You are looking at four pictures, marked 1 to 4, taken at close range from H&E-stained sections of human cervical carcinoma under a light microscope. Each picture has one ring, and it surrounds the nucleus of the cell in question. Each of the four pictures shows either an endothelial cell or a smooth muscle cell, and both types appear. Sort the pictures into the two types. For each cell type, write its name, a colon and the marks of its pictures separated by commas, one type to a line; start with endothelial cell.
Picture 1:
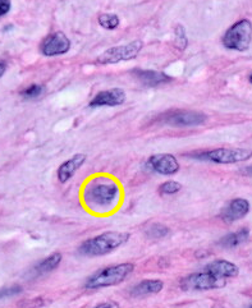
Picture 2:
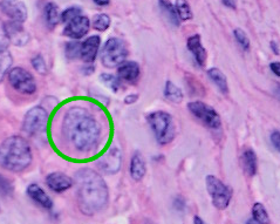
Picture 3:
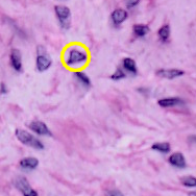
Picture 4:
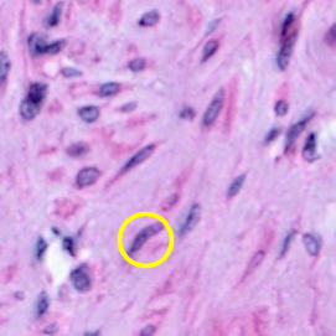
endothelial cell: 2
smooth muscle cell: 1, 3, 4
